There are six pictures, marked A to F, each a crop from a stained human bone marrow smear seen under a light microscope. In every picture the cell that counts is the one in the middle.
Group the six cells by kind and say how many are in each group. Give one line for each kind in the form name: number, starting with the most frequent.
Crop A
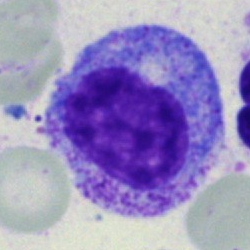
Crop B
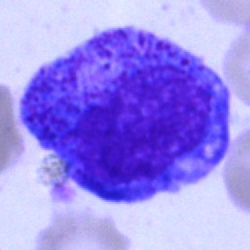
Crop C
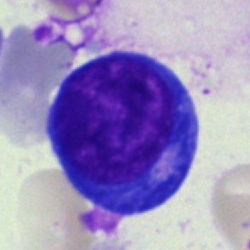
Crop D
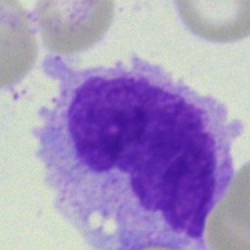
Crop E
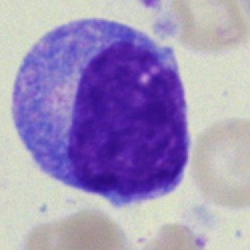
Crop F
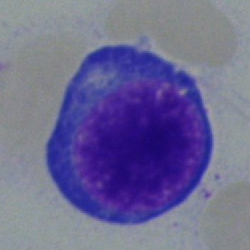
promyelocyte: 3
proerythroblast: 2
monocyte: 1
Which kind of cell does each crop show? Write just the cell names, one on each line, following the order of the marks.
promyelocyte
promyelocyte
proerythroblast
monocyte
promyelocyte
proerythroblast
